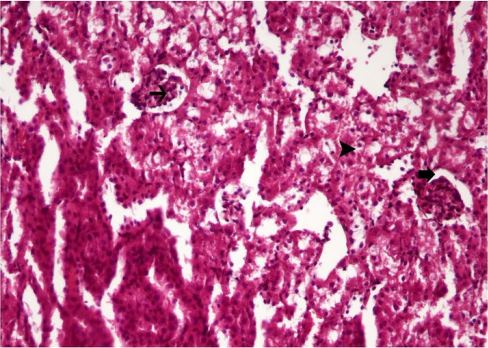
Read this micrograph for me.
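Many tubules in the middle of the field have pale, frothy, washed-out pink cytoplasm, and their outlines are blurred, with irregular clear spaces opening between them. Elsewhere, toward the left, tubules keep a denser pink appearance with dark nuclei.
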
